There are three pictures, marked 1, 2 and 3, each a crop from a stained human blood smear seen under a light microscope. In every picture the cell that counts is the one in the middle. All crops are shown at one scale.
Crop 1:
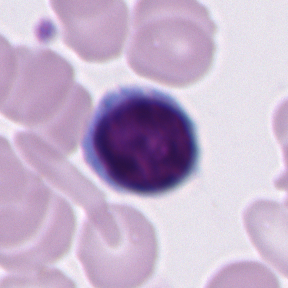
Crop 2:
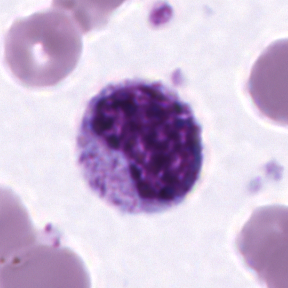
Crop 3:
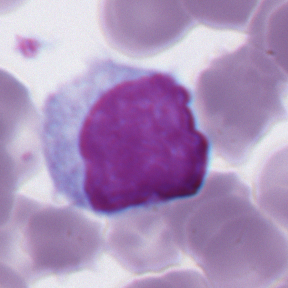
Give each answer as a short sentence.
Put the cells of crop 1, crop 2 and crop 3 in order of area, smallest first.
Going up, they run 1, 2, 3.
